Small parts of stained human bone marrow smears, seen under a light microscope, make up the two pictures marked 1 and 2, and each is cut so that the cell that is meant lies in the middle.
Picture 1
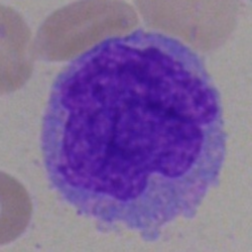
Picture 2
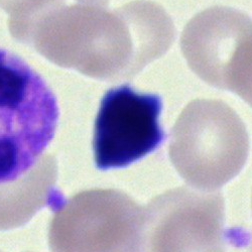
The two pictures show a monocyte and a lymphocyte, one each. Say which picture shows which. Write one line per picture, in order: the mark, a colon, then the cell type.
1: monocyte
2: lymphocyte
